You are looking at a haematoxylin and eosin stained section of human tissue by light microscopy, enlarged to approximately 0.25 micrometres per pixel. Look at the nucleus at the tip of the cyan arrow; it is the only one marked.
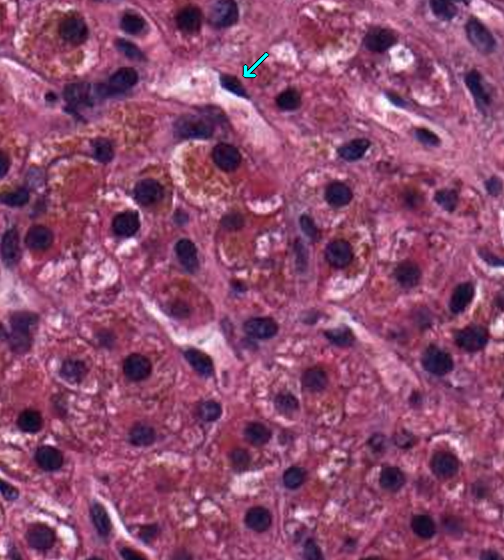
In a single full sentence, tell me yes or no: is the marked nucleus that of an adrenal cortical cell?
No, the marked nucleus is not that of an adrenal cortical cell but that of a supporting cell.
